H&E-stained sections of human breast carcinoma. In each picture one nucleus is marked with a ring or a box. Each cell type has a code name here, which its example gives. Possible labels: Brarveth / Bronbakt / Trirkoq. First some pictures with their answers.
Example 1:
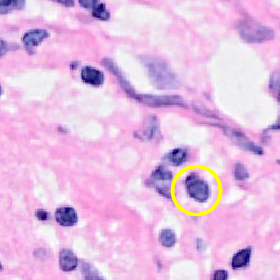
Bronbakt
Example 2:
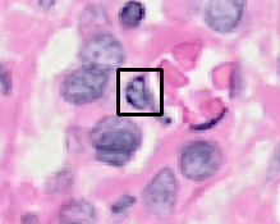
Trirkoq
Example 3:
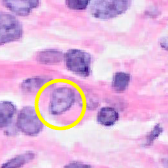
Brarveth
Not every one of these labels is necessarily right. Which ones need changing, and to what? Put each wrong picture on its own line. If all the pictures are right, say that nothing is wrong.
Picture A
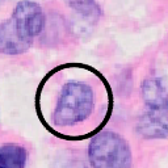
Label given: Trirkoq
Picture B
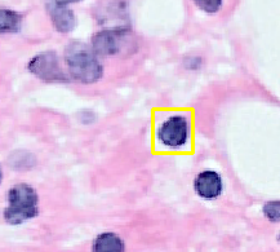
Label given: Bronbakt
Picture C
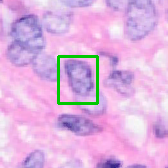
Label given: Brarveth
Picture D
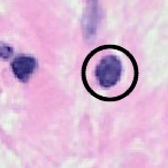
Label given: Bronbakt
A is labelled Trirkoq; correct label: Brarveth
